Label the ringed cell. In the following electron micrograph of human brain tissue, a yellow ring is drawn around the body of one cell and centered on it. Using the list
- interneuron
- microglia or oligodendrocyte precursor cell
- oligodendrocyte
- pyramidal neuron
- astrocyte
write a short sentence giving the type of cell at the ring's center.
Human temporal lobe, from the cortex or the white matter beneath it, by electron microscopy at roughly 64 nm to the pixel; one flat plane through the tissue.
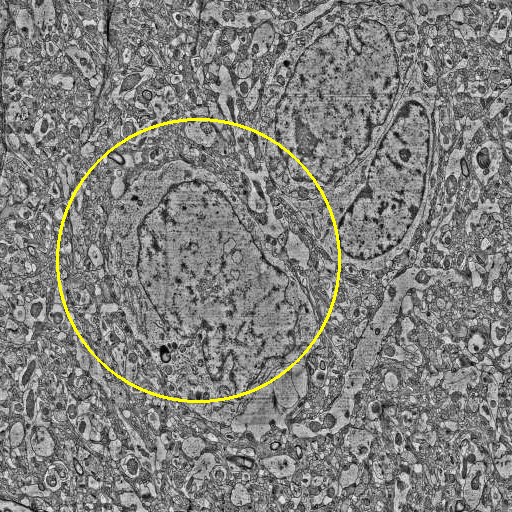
The cell body at the ring's center is that of an interneuron.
